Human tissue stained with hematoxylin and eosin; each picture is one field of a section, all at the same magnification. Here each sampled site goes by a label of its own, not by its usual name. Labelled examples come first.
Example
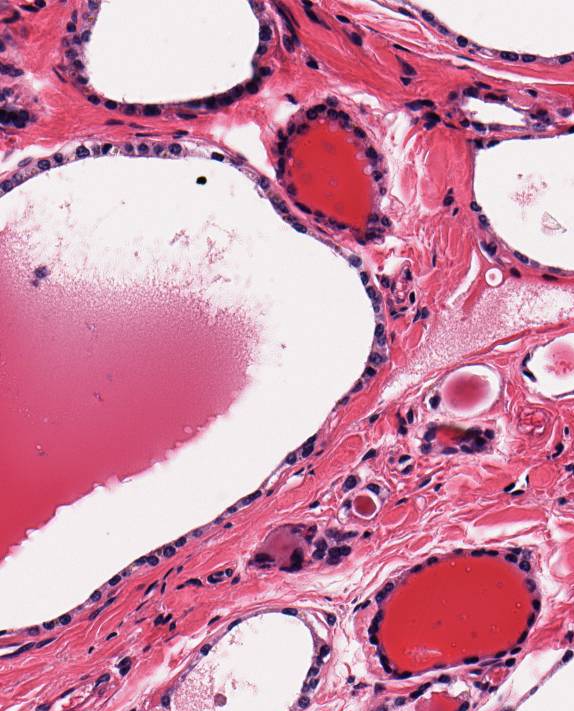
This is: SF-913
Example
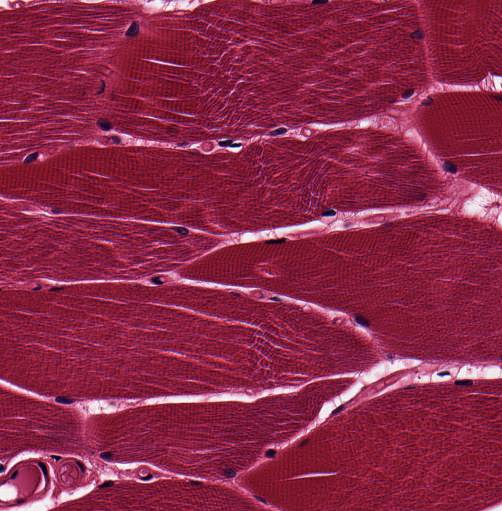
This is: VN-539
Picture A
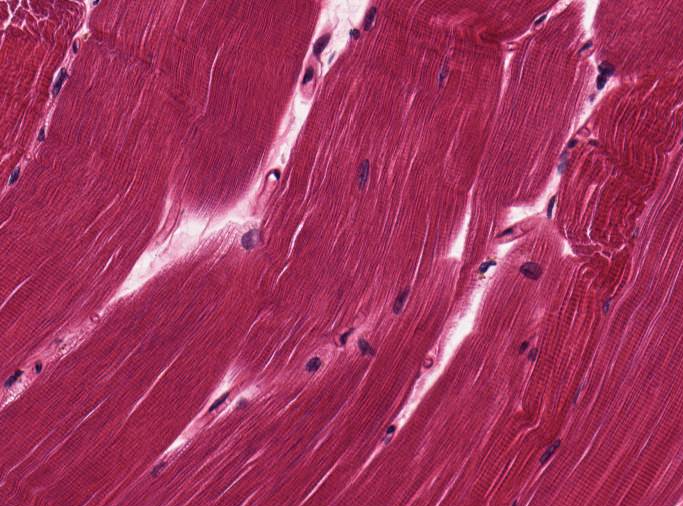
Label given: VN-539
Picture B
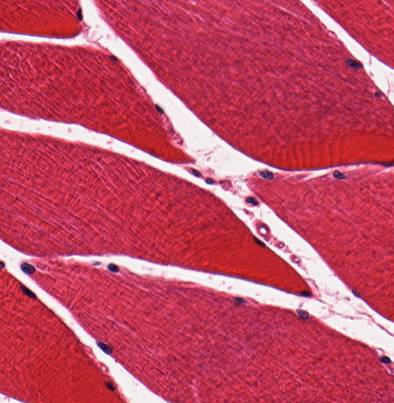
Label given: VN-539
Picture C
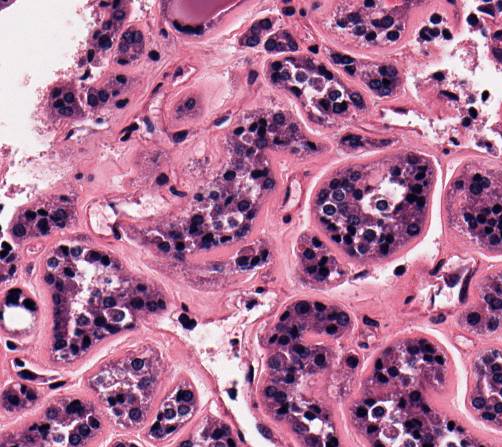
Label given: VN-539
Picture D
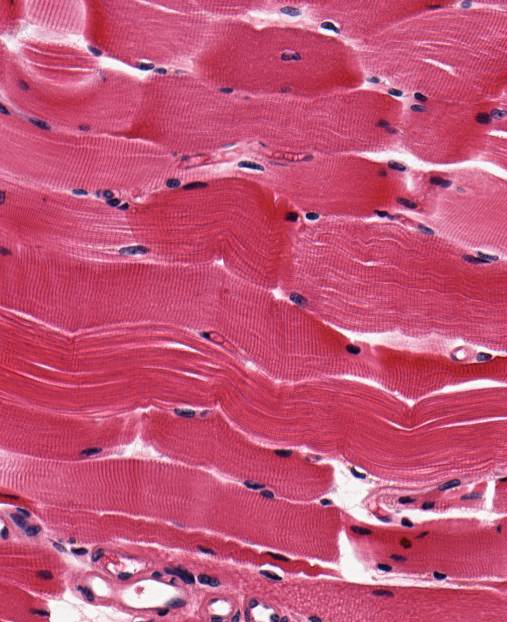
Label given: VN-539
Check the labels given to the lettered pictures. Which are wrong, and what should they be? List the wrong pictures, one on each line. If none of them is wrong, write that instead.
C: SF-913, not VN-539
